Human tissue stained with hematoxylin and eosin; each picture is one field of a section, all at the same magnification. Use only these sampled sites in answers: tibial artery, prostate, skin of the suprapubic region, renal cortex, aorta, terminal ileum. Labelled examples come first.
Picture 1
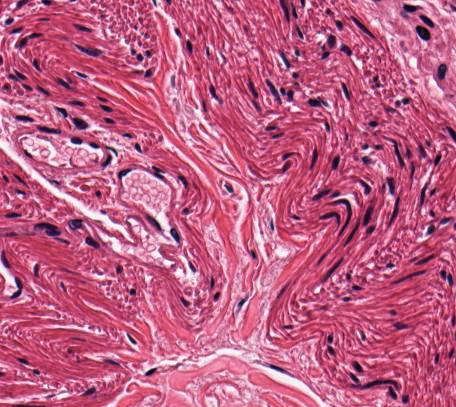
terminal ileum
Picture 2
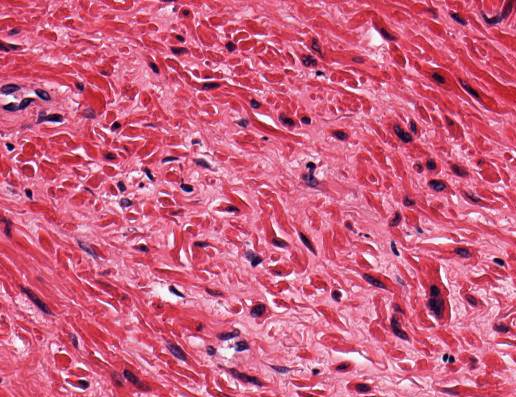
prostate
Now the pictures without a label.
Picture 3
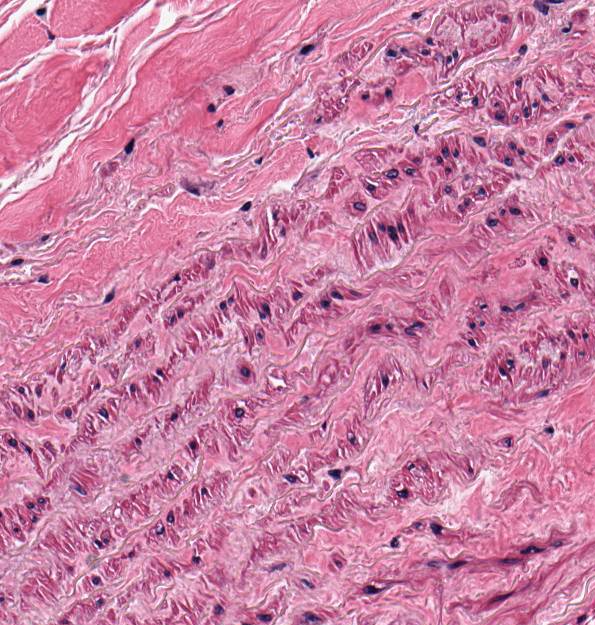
aorta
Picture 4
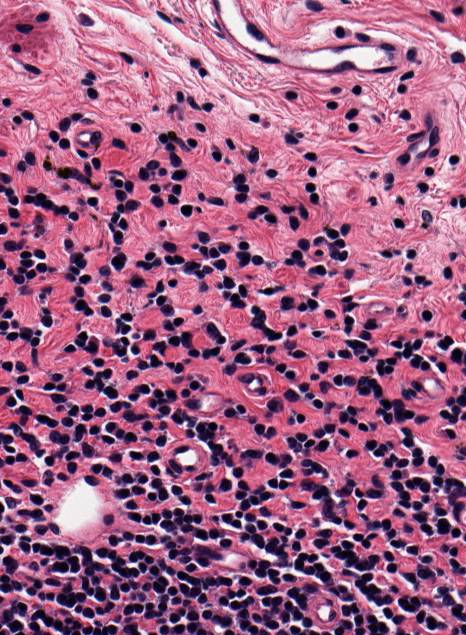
terminal ileum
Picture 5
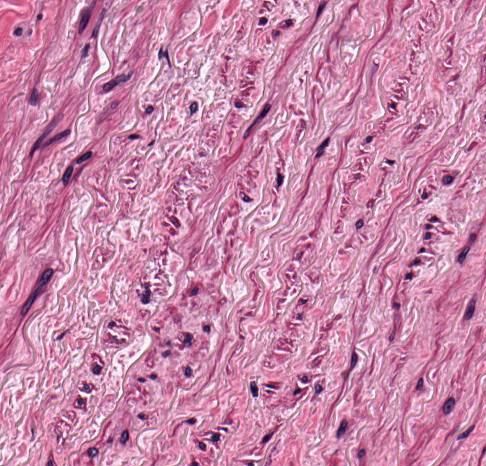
aorta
